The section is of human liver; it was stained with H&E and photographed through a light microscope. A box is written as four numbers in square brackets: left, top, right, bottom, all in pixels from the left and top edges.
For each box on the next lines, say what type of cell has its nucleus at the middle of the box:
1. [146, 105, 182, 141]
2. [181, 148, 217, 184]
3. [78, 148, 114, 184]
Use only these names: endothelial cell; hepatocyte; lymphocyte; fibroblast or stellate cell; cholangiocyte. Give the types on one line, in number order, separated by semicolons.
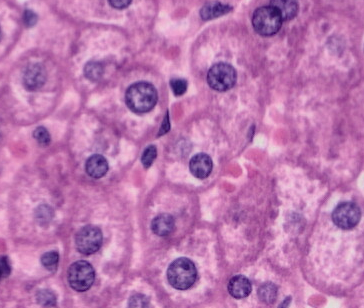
endothelial cell; hepatocyte; hepatocyte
